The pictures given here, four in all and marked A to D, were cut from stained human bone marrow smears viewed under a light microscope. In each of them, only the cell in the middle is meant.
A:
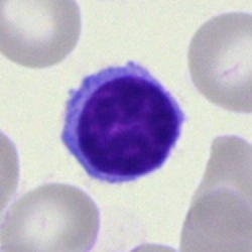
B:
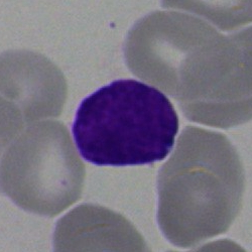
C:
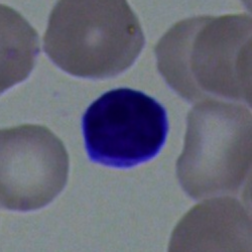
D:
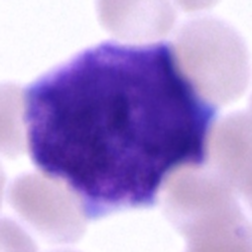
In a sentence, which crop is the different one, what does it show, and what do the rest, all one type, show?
The remaining crops are all lymphocytes, so crop D, being a blast, is the exception.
